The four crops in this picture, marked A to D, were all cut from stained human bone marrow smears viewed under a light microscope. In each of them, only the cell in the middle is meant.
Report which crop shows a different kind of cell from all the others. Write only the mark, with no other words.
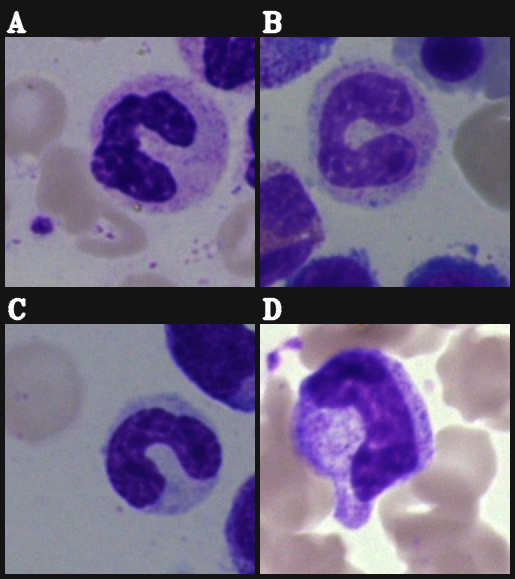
A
